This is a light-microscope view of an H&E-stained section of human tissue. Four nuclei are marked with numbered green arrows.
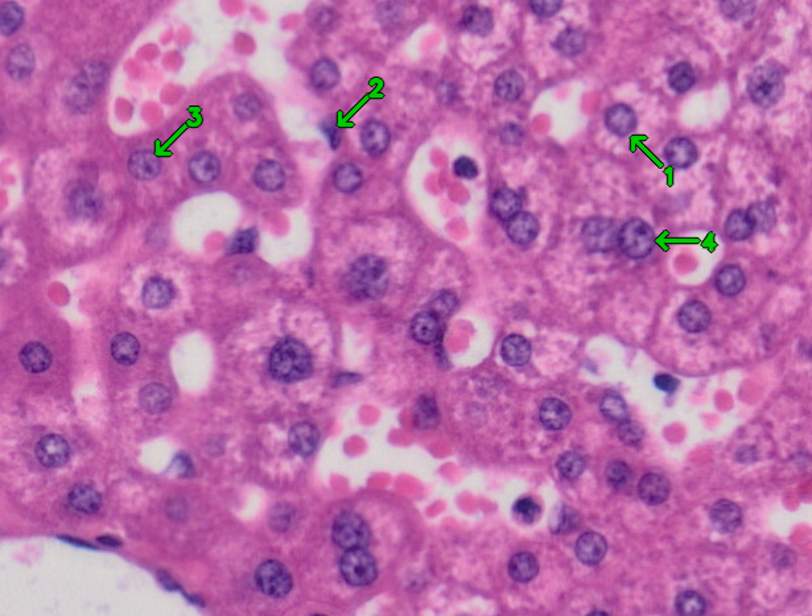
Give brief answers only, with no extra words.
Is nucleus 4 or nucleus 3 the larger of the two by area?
4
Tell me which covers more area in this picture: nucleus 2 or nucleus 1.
1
